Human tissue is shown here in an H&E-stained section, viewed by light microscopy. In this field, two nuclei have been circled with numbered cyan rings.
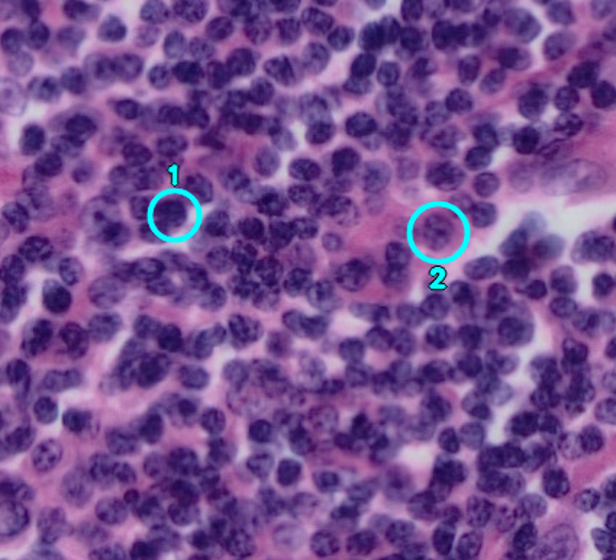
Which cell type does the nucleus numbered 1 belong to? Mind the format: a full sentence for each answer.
The marked cell with the number 1 is recognised as a small lymphocyte.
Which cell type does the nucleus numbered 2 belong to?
As for number 2, that cell is a plasma cell.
